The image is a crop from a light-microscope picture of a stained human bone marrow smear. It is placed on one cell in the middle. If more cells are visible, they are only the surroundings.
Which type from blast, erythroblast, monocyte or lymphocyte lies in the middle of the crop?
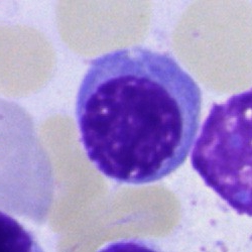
erythroblast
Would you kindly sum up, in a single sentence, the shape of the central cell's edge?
The cell shows a smooth outline that lacks any surface projections.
